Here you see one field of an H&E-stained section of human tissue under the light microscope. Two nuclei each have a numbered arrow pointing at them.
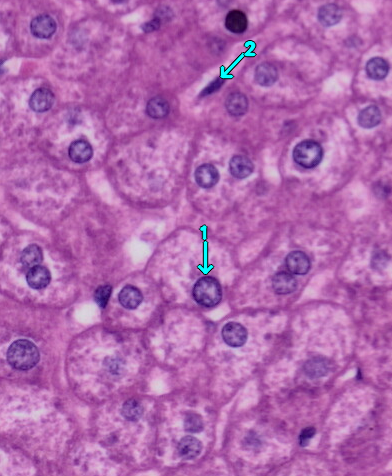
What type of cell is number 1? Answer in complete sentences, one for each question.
In this section, number 1 marks a hepatocyte.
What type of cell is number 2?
Classified as a Kupffer cell is the cell with the number 2.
